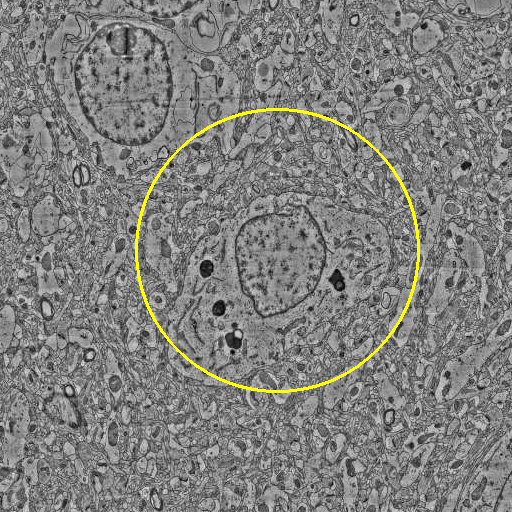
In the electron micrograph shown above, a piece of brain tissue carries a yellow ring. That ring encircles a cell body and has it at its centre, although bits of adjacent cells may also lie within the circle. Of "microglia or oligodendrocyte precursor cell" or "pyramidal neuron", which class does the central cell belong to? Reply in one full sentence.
The cell body at the centre of the yellow ring belongs to a pyramidal neuron.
